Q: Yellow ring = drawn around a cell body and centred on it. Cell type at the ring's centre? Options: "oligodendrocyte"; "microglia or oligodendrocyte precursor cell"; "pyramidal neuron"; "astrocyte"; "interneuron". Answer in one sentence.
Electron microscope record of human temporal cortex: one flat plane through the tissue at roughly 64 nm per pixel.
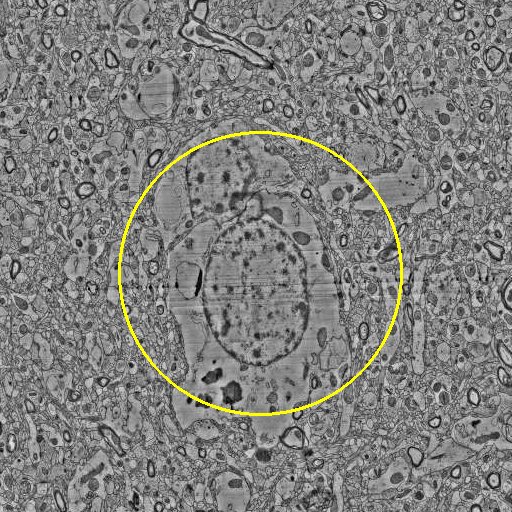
Centred in the ring is an astrocyte.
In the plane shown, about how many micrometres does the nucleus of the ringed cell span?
The nucleus works out at approximately 10 by 7 micrometres in this plane.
